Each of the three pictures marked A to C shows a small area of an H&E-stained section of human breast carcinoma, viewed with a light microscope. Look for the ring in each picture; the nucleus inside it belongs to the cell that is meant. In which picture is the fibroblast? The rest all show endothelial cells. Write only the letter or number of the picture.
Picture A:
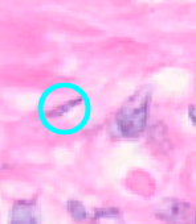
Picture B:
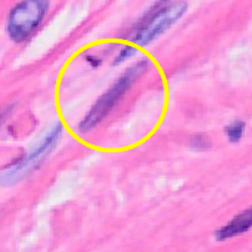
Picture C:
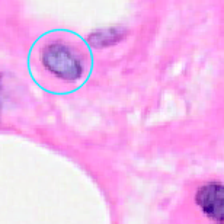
A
